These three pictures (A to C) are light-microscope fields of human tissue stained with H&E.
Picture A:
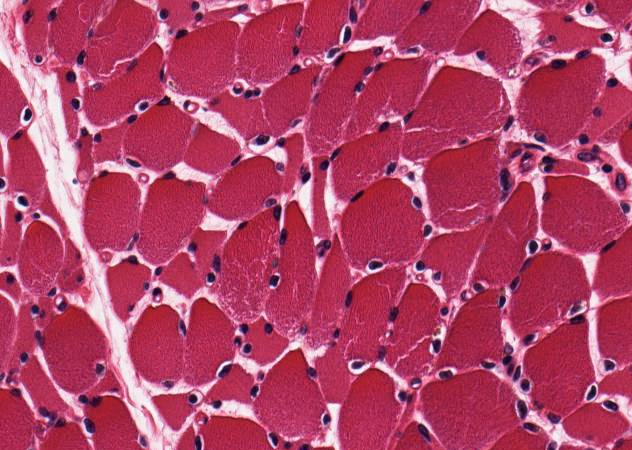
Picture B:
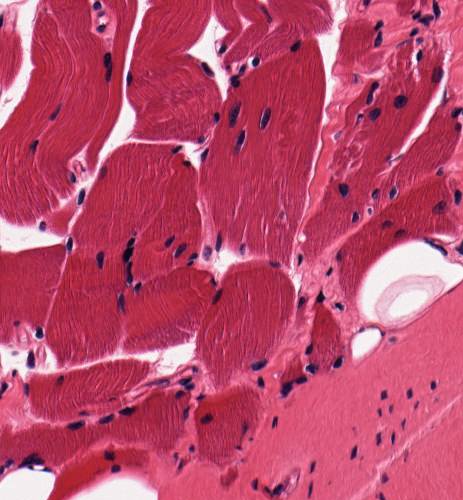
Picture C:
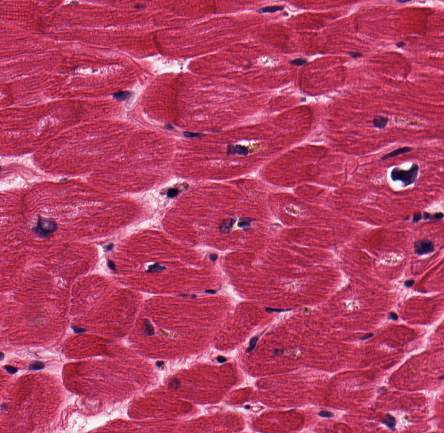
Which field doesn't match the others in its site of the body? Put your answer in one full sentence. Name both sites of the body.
Picture C is the odd one out: it comes from the left ventricle of the heart, while the others come from skeletal muscle.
